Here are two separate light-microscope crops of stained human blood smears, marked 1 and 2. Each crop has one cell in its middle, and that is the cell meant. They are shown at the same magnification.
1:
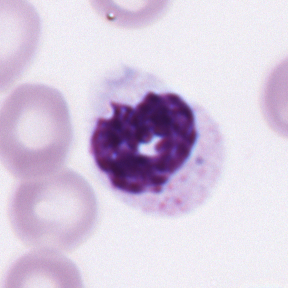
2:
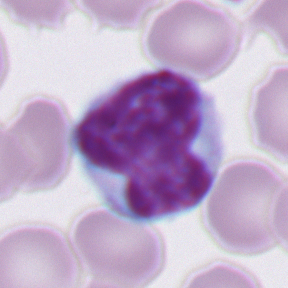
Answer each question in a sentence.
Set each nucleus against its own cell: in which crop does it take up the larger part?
It is the cell in crop 2 that is filled more by its nucleus.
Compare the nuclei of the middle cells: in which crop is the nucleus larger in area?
It is the nucleus in crop 2, about 1.5 times as large in area as the one in crop 1.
